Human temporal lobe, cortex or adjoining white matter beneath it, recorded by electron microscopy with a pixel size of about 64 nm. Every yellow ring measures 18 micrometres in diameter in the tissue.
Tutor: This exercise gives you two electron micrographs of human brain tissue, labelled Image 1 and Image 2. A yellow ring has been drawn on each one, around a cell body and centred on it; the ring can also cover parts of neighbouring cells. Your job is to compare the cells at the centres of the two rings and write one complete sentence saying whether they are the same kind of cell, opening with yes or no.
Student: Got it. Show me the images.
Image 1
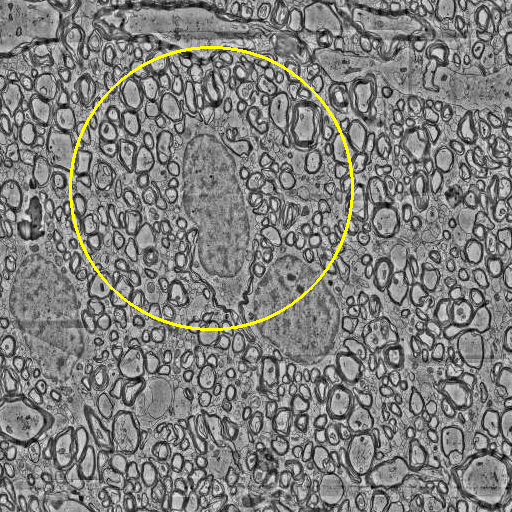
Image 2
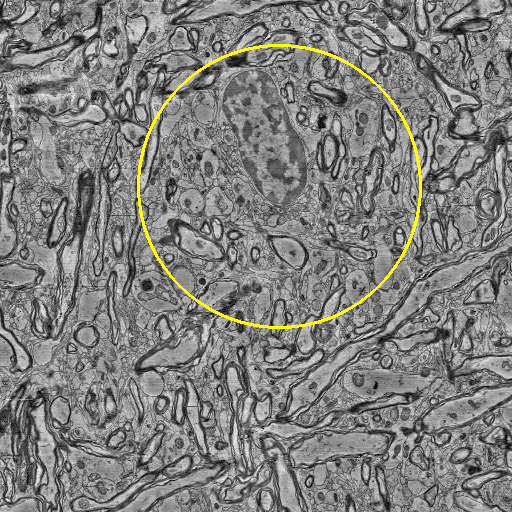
No, the two cells belong to two kinds.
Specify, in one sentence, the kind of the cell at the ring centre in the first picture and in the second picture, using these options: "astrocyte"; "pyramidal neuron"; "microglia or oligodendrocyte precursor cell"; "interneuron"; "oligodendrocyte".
So the first is an oligodendrocyte, the second a microglial cell or oligodendrocyte precursor cell.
